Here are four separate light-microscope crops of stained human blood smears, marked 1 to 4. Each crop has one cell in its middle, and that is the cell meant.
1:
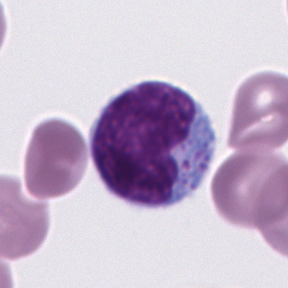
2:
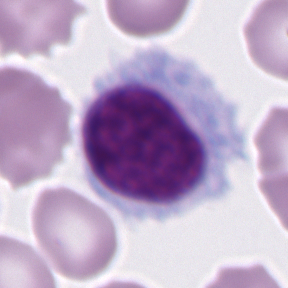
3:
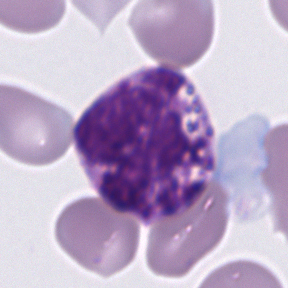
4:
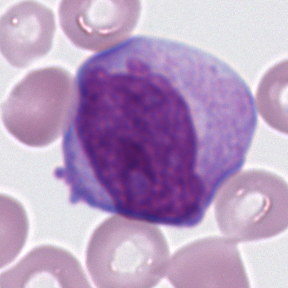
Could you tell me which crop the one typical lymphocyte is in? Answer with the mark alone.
1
